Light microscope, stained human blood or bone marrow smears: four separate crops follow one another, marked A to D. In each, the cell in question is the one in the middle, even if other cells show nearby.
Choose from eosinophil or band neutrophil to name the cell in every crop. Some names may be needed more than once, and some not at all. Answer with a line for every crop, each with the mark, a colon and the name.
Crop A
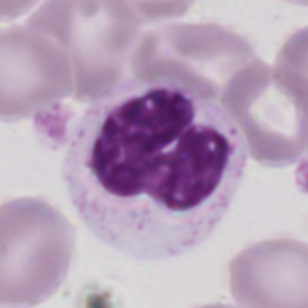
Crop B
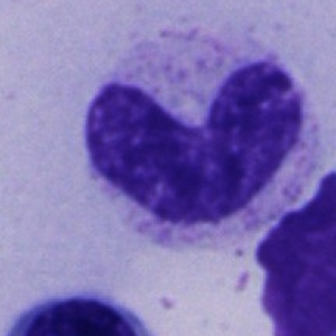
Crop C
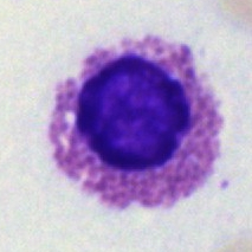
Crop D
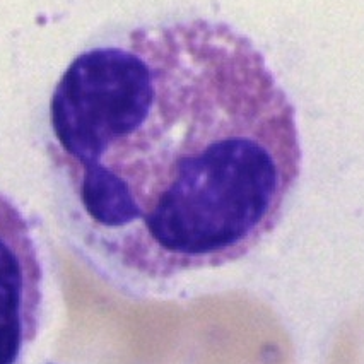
A: band neutrophil
B: band neutrophil
C: eosinophil
D: eosinophil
